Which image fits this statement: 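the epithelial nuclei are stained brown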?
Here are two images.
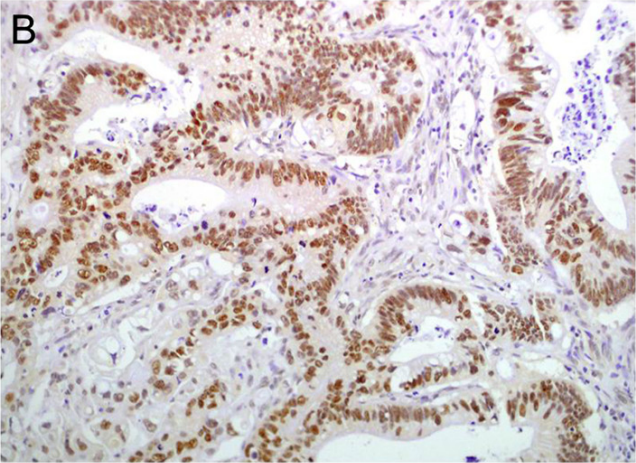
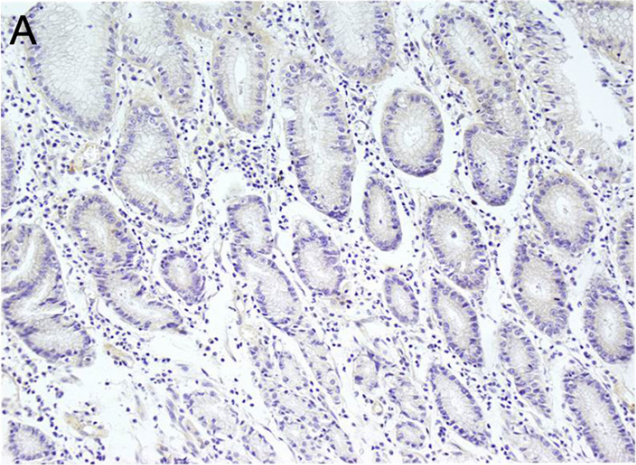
The first image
